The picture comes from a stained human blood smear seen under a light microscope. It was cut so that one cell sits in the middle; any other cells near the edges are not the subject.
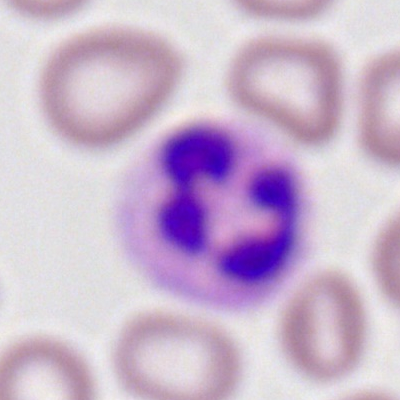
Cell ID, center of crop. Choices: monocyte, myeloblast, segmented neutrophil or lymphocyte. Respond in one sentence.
The cell nearest the centre of this crop is a segmented neutrophil.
